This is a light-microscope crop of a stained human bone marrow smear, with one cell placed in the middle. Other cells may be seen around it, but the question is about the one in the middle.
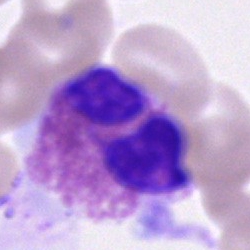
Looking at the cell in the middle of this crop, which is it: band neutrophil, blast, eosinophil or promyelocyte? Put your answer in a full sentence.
The cell centred in this crop is categorized as an eosinophil.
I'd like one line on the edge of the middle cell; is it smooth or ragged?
The cell membrane follows an uneven contour, either ragged or bearing projections.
